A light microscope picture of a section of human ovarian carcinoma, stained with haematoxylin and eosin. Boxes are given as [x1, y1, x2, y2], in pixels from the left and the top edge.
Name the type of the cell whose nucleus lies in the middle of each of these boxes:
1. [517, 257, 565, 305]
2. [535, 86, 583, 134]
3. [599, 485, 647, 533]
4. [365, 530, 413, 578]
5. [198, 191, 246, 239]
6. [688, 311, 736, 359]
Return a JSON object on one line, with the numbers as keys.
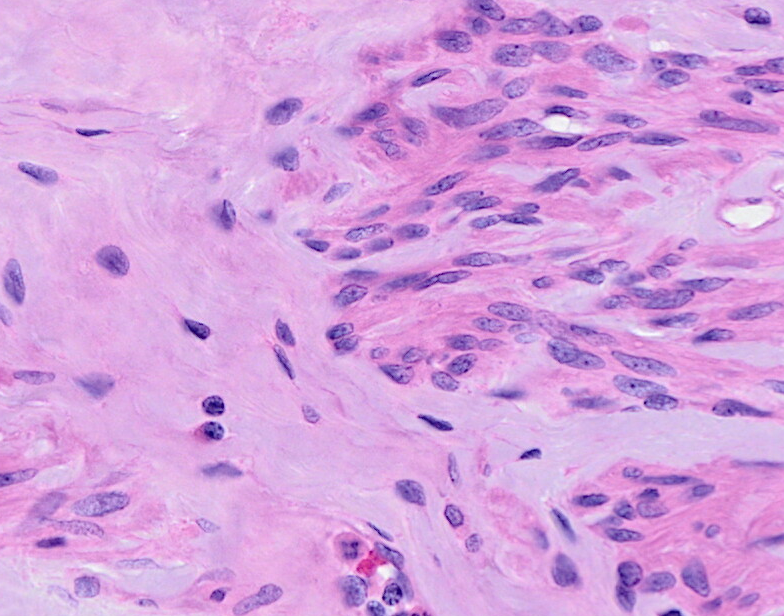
{"1": "smooth muscle cell", "2": "smooth muscle cell", "3": "smooth muscle cell", "4": "endothelial cell", "5": "fibroblast", "6": "smooth muscle cell"}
